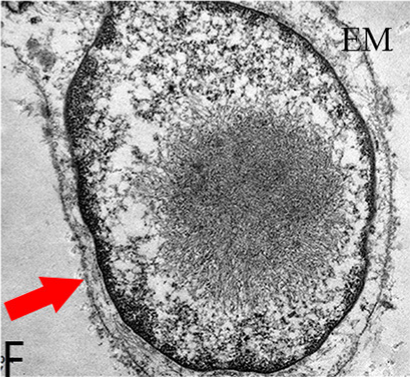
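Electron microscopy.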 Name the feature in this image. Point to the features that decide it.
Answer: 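A round dense mass of fine radiating filaments fills the center of the nucleus. It is surrounded by granular chromatin within the nuclear envelope. It has no membrane of its own.
Conclusion: circular inclusion body structure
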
